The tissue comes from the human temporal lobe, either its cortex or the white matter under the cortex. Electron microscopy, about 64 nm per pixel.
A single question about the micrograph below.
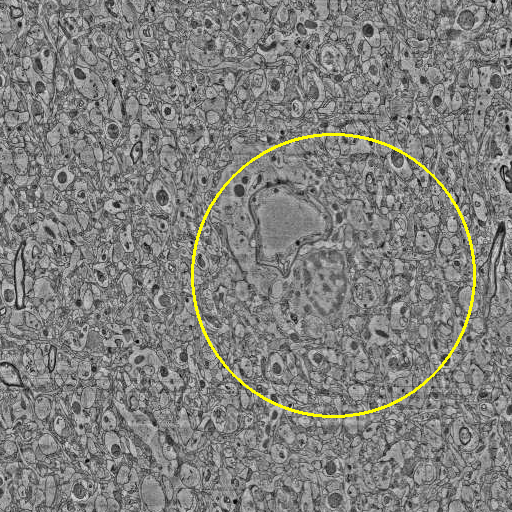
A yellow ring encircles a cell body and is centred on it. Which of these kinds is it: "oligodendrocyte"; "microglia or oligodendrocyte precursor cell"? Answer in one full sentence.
The cell body at the centre of the yellow ring belongs to an oligodendrocyte.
